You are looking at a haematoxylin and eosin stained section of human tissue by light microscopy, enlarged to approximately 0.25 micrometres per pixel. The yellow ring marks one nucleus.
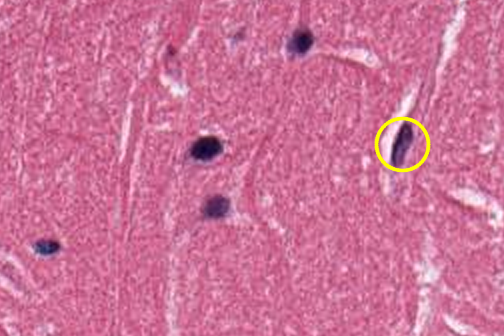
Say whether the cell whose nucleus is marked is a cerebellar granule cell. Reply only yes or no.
no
